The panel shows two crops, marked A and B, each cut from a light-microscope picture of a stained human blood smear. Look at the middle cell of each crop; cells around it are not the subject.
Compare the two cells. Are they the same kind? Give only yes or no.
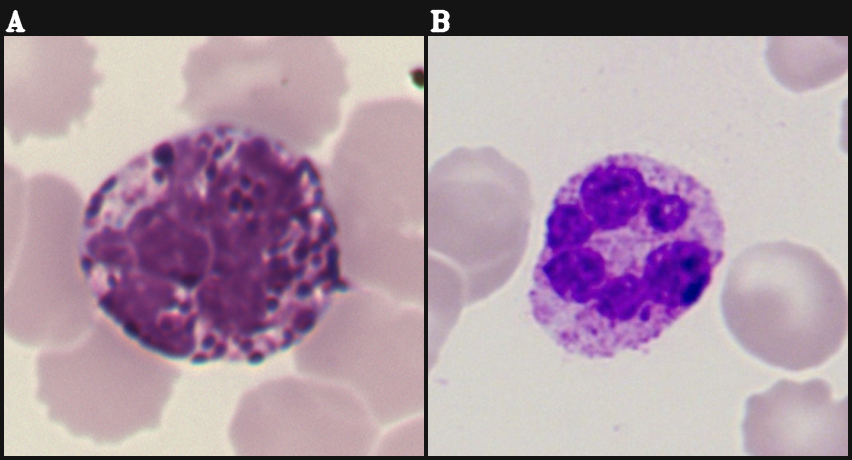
yes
